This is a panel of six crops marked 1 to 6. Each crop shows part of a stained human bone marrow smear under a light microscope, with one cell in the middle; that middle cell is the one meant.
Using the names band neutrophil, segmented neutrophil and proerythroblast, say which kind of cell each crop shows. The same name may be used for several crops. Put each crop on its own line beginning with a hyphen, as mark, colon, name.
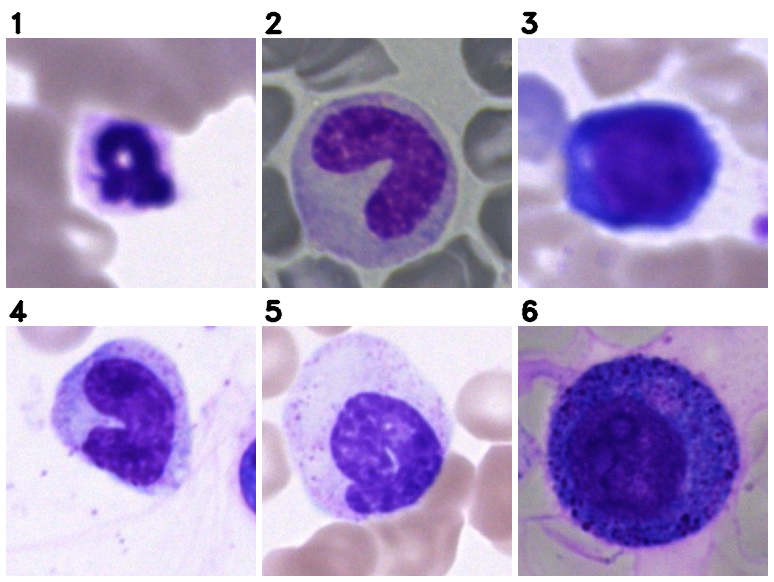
- 1: segmented neutrophil
- 2: band neutrophil
- 3: proerythroblast
- 4: band neutrophil
- 5: band neutrophil
- 6: proerythroblast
